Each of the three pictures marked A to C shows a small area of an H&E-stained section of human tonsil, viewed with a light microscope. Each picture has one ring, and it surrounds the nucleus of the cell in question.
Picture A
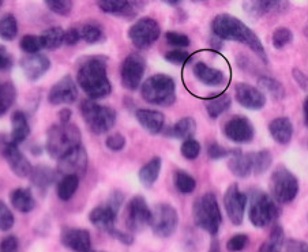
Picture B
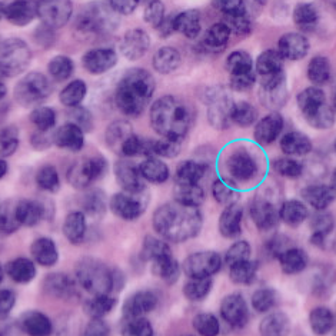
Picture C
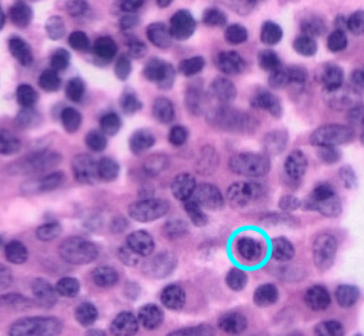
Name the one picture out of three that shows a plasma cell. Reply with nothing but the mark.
C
